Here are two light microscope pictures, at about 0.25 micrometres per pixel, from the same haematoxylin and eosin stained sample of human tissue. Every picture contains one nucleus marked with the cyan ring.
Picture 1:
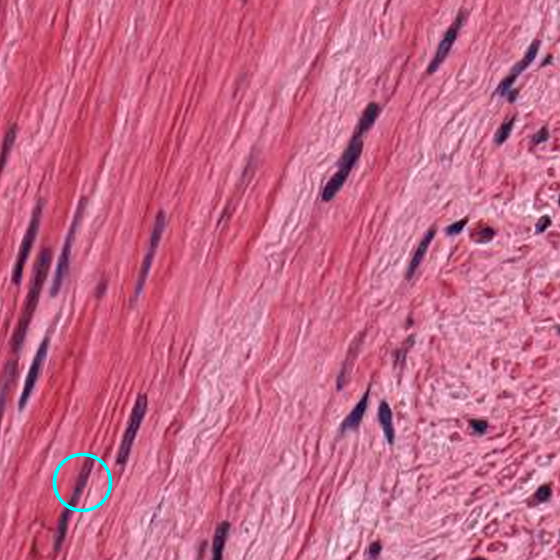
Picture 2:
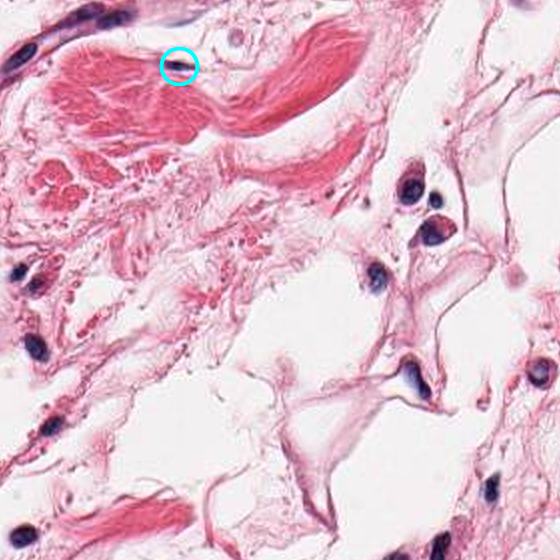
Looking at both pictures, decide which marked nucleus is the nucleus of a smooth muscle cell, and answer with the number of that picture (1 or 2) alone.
1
